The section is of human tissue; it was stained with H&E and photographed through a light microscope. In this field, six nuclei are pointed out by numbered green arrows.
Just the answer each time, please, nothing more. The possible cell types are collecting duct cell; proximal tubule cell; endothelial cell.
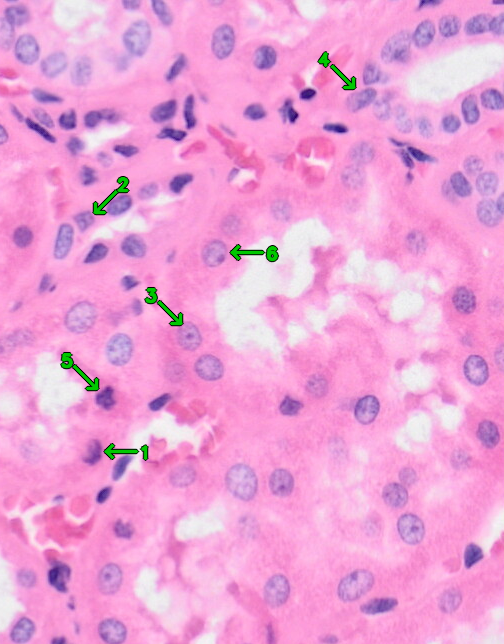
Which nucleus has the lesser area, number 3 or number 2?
2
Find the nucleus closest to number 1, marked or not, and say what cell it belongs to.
endothelial cell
